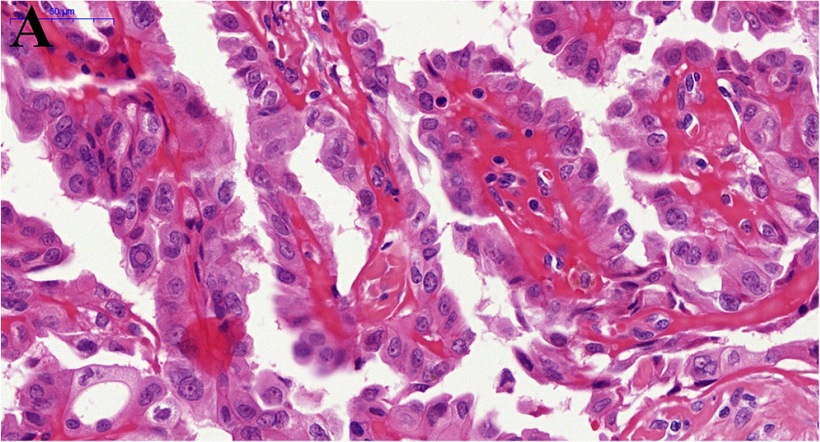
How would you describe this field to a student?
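Papillae of a thyroid carcinoma are shown, each with a pink fibrous core carrying small vessels and lined by one or more layers of epithelial cells. The epithelial cells have pink cytoplasm and enlarged, oval, crowded nuclei with pale chromatin and visible nucleoli. Some nuclei contain a round pale intranuclear area or a longitudinal groove-like line.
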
